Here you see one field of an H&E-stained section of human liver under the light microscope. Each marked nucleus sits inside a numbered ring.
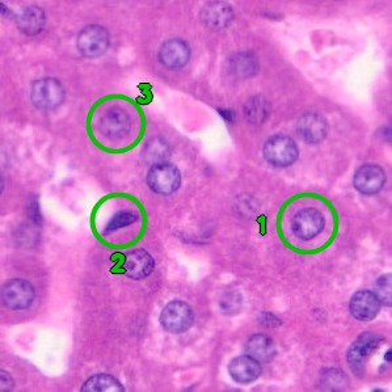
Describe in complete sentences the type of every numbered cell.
Cell 1 is a hepatocyte, cell 2 is a fibroblast or stellate cell and cell 3 is a hepatocyte.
